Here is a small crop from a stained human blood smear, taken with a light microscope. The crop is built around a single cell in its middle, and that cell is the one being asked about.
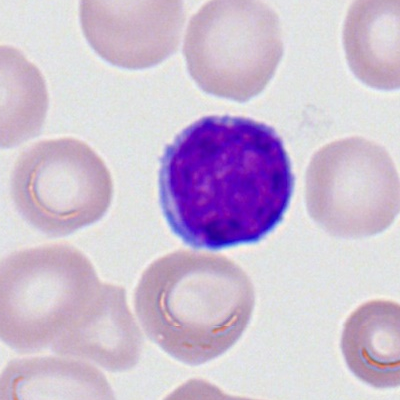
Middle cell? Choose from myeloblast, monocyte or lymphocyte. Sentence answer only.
The cell at the middle of the crop is recognized as a lymphocyte.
